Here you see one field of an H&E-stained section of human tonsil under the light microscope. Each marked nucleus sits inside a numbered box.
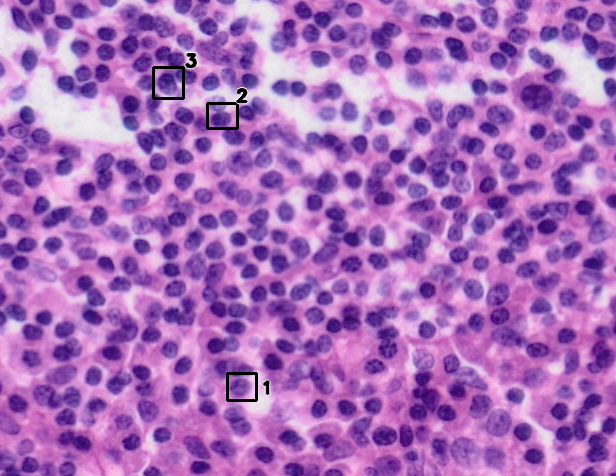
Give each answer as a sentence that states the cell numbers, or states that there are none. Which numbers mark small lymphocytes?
The cells the numbers 2 and 3 point to are small lymphocytes.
